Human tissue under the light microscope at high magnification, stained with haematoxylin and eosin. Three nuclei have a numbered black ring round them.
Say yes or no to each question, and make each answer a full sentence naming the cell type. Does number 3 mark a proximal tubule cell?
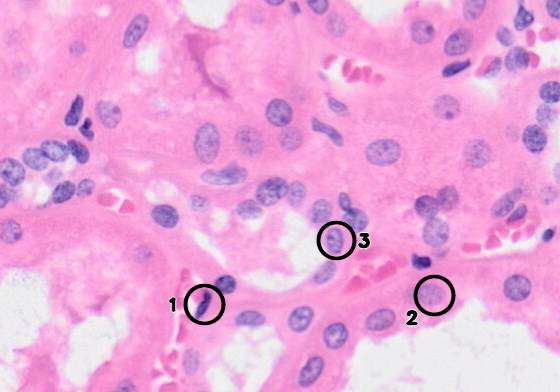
No, cell 3 is a collecting duct cell and should not be called a proximal tubule cell.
